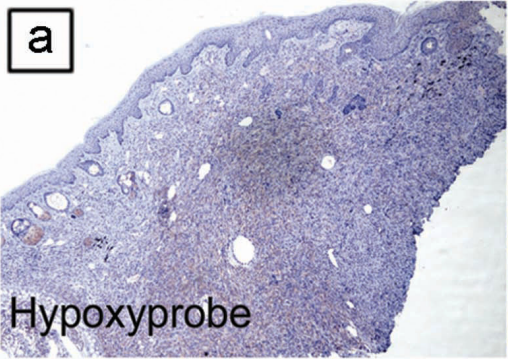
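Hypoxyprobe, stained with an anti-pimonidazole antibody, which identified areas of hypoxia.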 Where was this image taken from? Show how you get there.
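A thin epidermis runs along the top edge. Hair follicles and glands sit beneath the epidermis. A dense, cell-rich mass fills the tissue below the epidermis. The answer: dermis.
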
